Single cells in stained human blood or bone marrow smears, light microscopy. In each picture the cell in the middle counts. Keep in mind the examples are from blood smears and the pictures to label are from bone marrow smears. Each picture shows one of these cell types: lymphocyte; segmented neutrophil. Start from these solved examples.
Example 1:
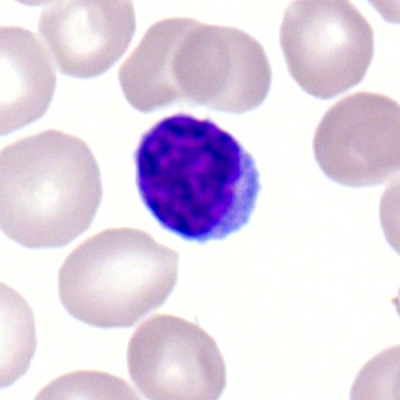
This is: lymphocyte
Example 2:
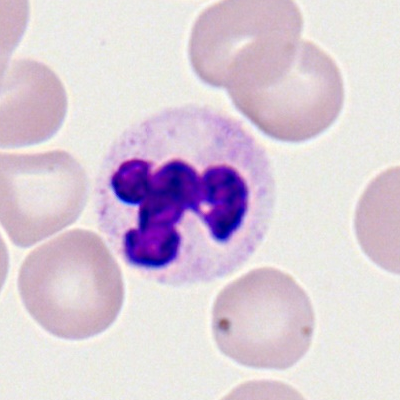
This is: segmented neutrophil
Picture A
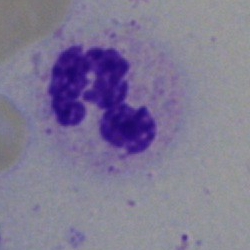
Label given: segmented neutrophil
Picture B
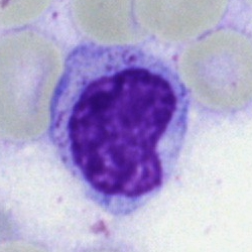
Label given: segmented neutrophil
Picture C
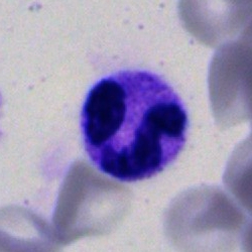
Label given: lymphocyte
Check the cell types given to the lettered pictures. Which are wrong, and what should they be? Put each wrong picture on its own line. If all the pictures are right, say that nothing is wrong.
B: change segmented neutrophil to lymphocyte
C: change lymphocyte to segmented neutrophil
